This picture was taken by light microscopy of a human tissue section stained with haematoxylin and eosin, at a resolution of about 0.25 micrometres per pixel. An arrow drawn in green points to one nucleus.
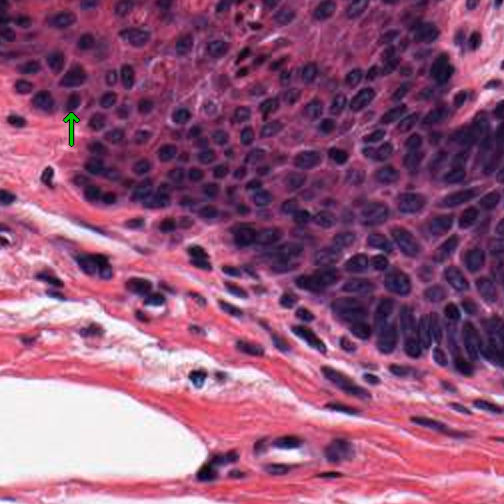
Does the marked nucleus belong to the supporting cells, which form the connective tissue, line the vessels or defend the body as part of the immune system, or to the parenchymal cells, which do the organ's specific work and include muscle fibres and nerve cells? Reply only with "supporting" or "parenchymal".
parenchymal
